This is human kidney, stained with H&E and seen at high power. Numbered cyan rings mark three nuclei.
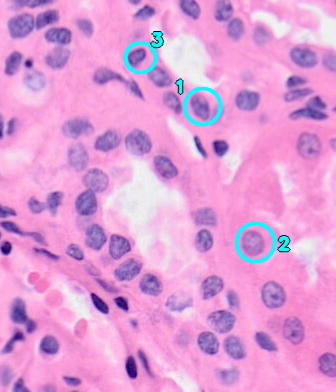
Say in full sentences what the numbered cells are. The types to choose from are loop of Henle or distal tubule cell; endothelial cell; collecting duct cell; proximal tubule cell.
Cell 1 is a collecting duct cell, cell 2 is a proximal tubule cell and cell 3 is a collecting duct cell.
